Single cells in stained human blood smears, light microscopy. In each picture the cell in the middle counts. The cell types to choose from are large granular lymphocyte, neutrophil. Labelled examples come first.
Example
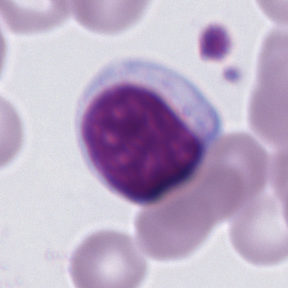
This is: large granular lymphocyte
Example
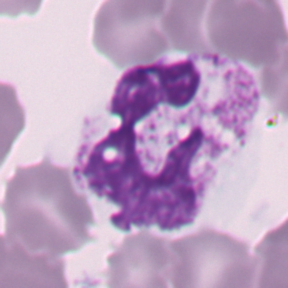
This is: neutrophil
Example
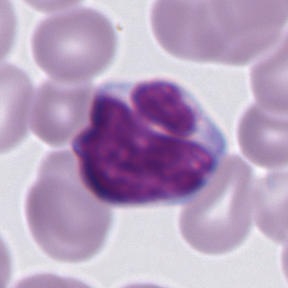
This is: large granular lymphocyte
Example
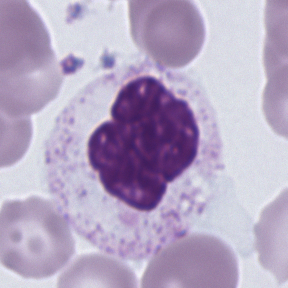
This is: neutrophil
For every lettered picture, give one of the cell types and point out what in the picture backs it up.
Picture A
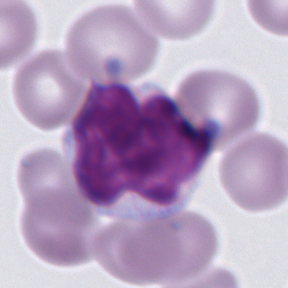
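large granular lymphocyte. The nucleus fills most of the cell.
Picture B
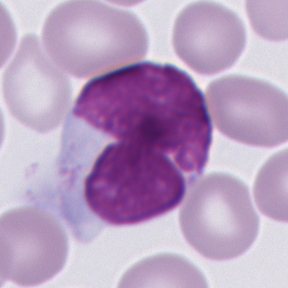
large granular lymphocyte. The nucleus fills most of the cell.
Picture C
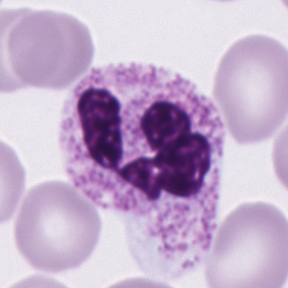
neutrophil. The cytoplasm is plentiful and pale pinkish-lilac.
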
